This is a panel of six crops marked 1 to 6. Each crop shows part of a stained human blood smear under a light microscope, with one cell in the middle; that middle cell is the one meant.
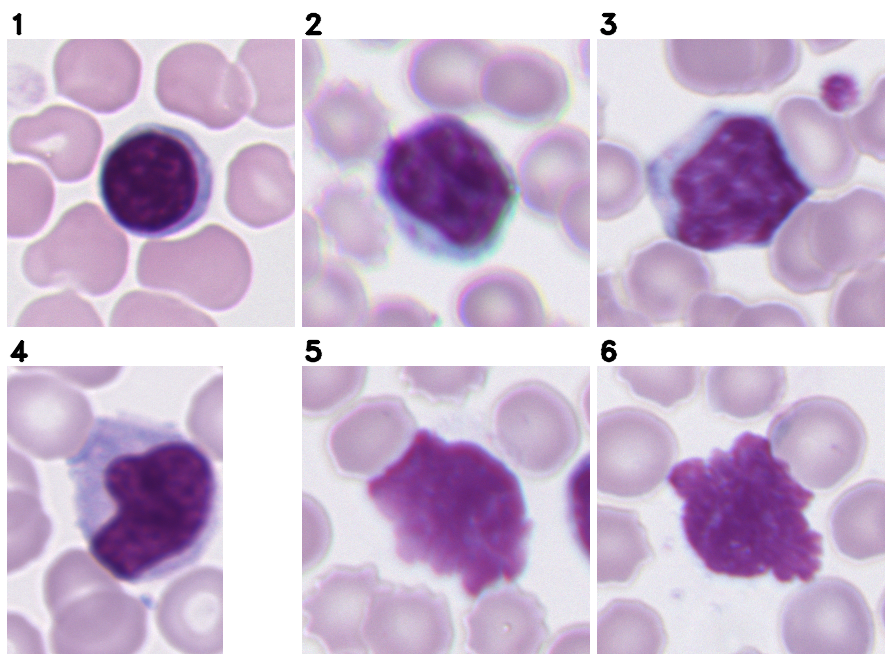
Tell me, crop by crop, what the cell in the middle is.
1: typical lymphocyte
2: typical lymphocyte
3: typical lymphocyte
4: typical lymphocyte
5: smudge cell
6: smudge cell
